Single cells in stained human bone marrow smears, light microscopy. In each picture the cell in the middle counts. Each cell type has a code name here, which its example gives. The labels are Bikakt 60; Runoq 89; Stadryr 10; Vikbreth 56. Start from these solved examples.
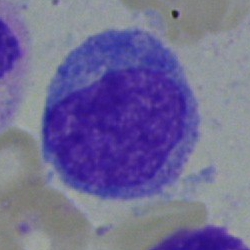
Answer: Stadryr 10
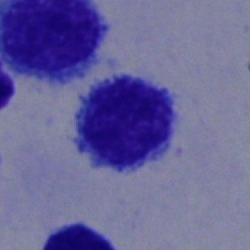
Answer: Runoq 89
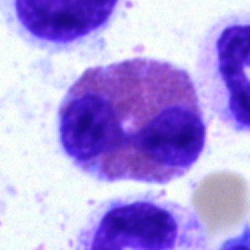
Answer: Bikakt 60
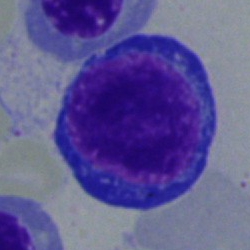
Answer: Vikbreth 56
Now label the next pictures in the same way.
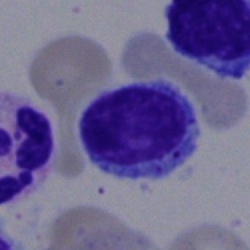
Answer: Runoq 89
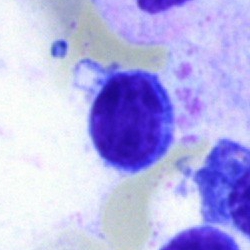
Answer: Runoq 89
